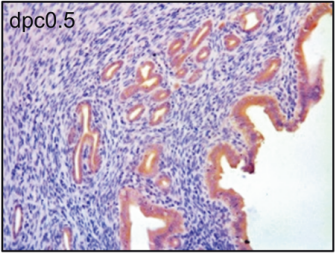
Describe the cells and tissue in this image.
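This is uterine endometrium with a folded luminal epithelium bordering an open lumen at right and numerous glands cut as round and elongated tubes in the stroma. The epithelial cells of the lumen and glands are stained brown, while the surrounding stromal cells are spindle-shaped with blue nuclei and little brown staining.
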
